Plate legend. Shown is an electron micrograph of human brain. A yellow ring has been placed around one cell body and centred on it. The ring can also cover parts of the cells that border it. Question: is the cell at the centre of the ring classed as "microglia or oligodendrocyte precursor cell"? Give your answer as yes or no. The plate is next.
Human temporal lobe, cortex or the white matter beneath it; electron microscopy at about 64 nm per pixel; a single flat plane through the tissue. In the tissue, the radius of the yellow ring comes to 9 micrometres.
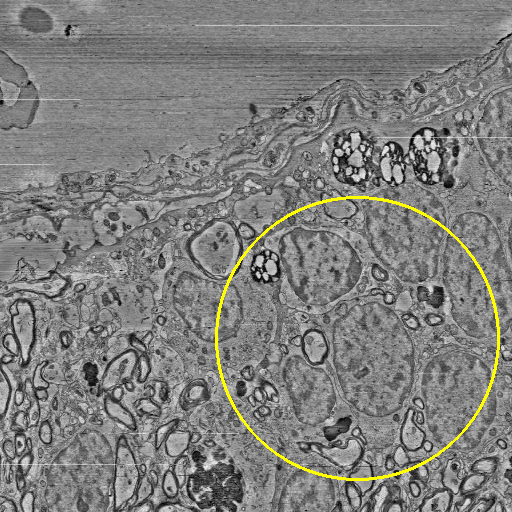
No, the ringed cell is of another kind.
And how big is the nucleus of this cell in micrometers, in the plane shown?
About 8 by 6 micrometers for the nucleus, in this plane.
